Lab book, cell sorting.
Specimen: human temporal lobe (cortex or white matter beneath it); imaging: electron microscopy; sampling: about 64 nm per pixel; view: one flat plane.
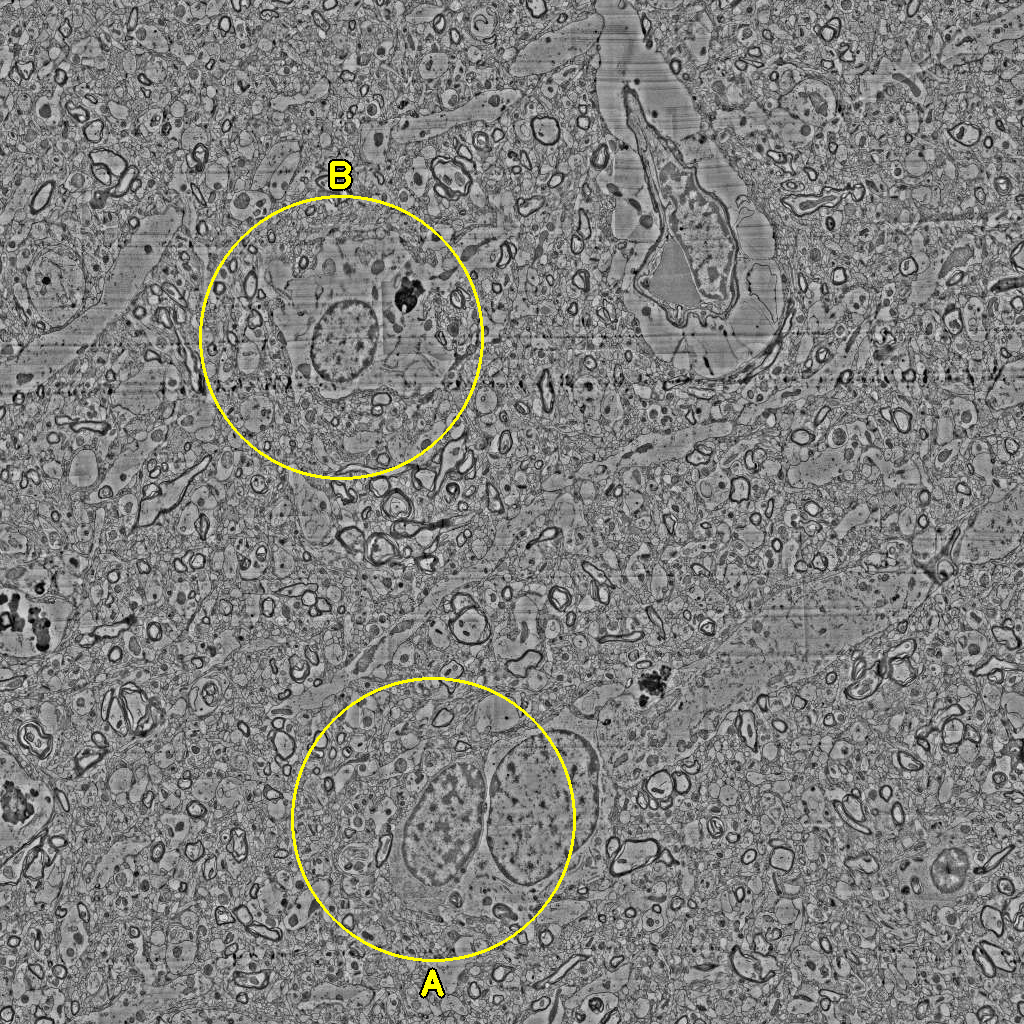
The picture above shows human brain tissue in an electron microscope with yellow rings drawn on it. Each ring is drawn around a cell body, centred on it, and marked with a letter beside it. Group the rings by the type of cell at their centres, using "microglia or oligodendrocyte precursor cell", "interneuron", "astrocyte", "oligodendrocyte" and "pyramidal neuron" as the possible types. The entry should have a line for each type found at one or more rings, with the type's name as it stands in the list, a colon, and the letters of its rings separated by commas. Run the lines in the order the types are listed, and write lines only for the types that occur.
astrocyte: B
oligodendrocyte: A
